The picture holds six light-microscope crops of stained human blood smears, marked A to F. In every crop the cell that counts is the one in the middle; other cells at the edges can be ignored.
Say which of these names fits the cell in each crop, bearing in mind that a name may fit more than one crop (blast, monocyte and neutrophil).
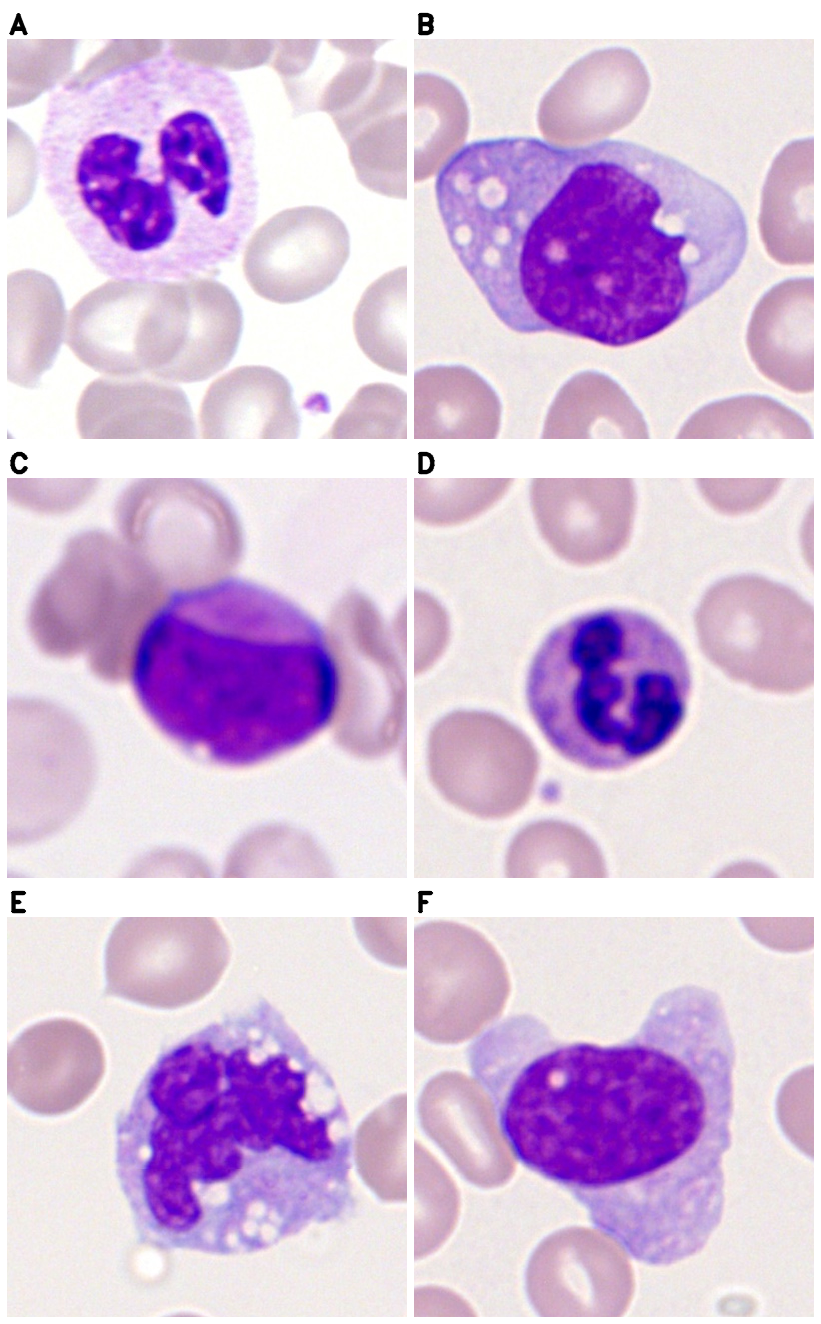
A: neutrophil
B: monocyte
C: blast
D: neutrophil
E: monocyte
F: monocyte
